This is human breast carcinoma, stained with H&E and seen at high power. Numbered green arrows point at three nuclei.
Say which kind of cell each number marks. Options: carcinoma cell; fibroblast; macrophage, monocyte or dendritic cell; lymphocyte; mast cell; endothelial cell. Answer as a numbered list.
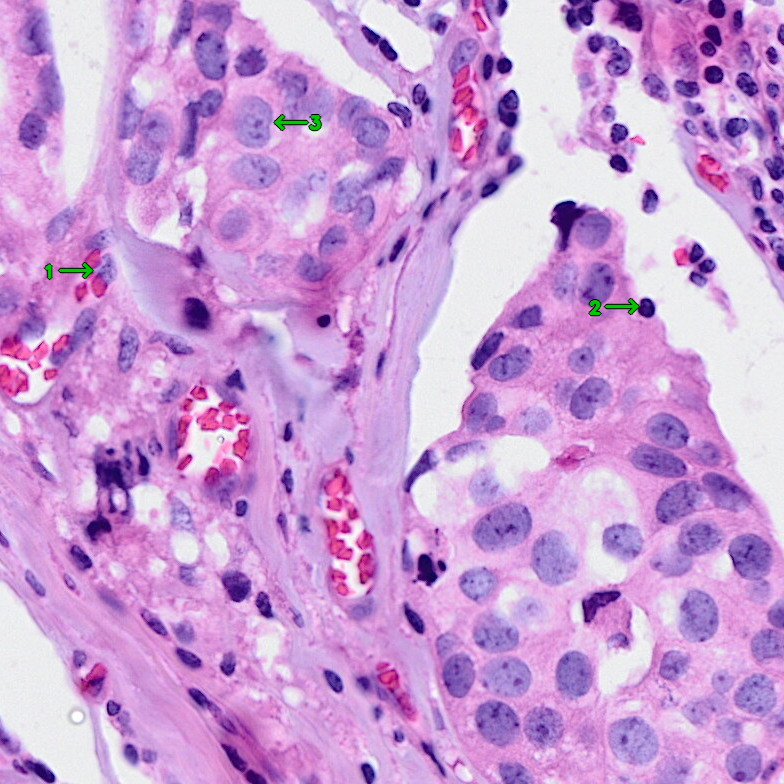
1. endothelial cell
2. lymphocyte
3. carcinoma cell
